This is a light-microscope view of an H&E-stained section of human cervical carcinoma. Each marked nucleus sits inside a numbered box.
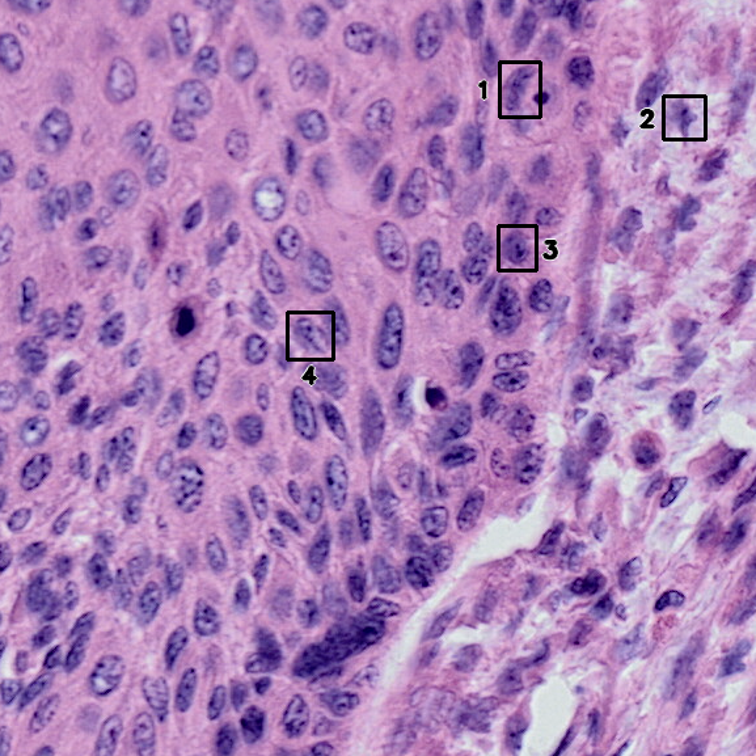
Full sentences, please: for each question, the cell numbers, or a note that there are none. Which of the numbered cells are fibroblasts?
Of the numbered nuclei, only the one labelled 2 belongs to a fibroblast.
